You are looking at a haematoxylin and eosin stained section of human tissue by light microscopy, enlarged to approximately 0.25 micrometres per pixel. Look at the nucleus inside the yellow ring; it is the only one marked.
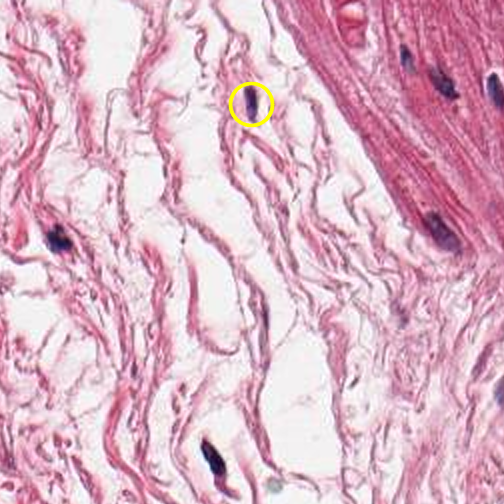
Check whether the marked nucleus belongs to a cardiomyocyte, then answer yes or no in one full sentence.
No, instead of a cardiomyocyte, a supporting cell is what the marked nucleus belongs to.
